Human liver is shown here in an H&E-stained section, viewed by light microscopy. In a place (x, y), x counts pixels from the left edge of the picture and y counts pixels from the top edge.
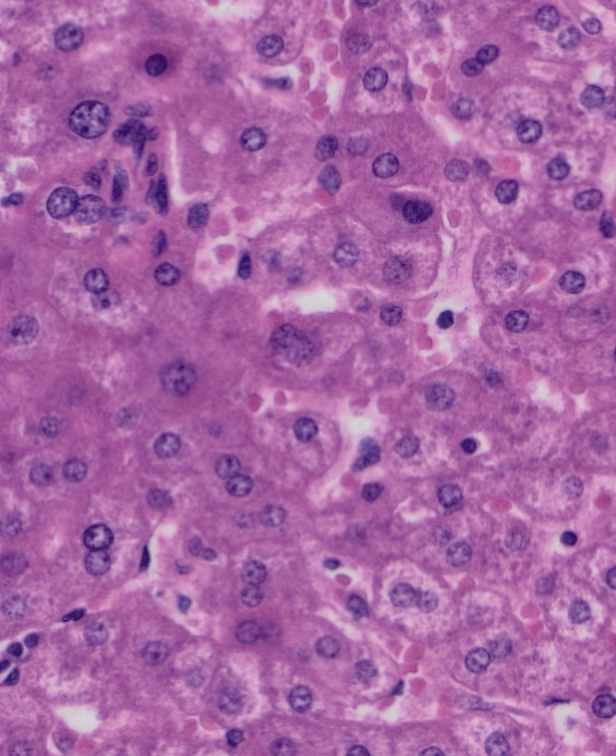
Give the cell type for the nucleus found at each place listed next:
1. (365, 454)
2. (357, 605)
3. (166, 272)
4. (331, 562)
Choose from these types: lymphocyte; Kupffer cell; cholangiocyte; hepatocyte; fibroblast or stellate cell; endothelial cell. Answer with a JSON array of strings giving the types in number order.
["endothelial cell", "Kupffer cell", "hepatocyte", "lymphocyte"]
